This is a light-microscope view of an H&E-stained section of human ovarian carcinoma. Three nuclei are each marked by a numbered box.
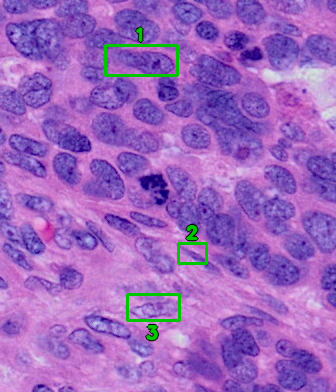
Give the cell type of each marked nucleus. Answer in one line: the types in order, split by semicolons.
carcinoma cell; fibroblast; fibroblast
